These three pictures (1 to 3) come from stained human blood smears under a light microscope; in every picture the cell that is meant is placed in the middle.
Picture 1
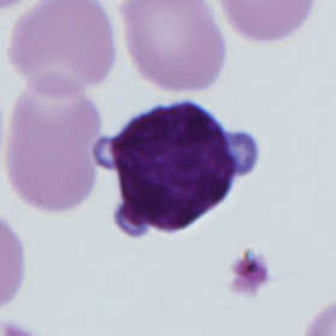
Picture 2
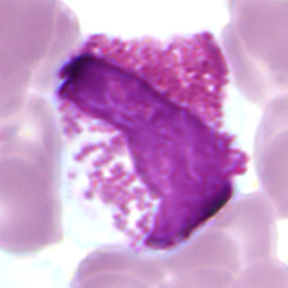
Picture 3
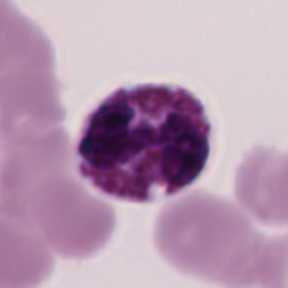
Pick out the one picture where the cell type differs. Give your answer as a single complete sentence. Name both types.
Unlike the rest, which show eosinophils, picture 1 shows a typical lymphocyte.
